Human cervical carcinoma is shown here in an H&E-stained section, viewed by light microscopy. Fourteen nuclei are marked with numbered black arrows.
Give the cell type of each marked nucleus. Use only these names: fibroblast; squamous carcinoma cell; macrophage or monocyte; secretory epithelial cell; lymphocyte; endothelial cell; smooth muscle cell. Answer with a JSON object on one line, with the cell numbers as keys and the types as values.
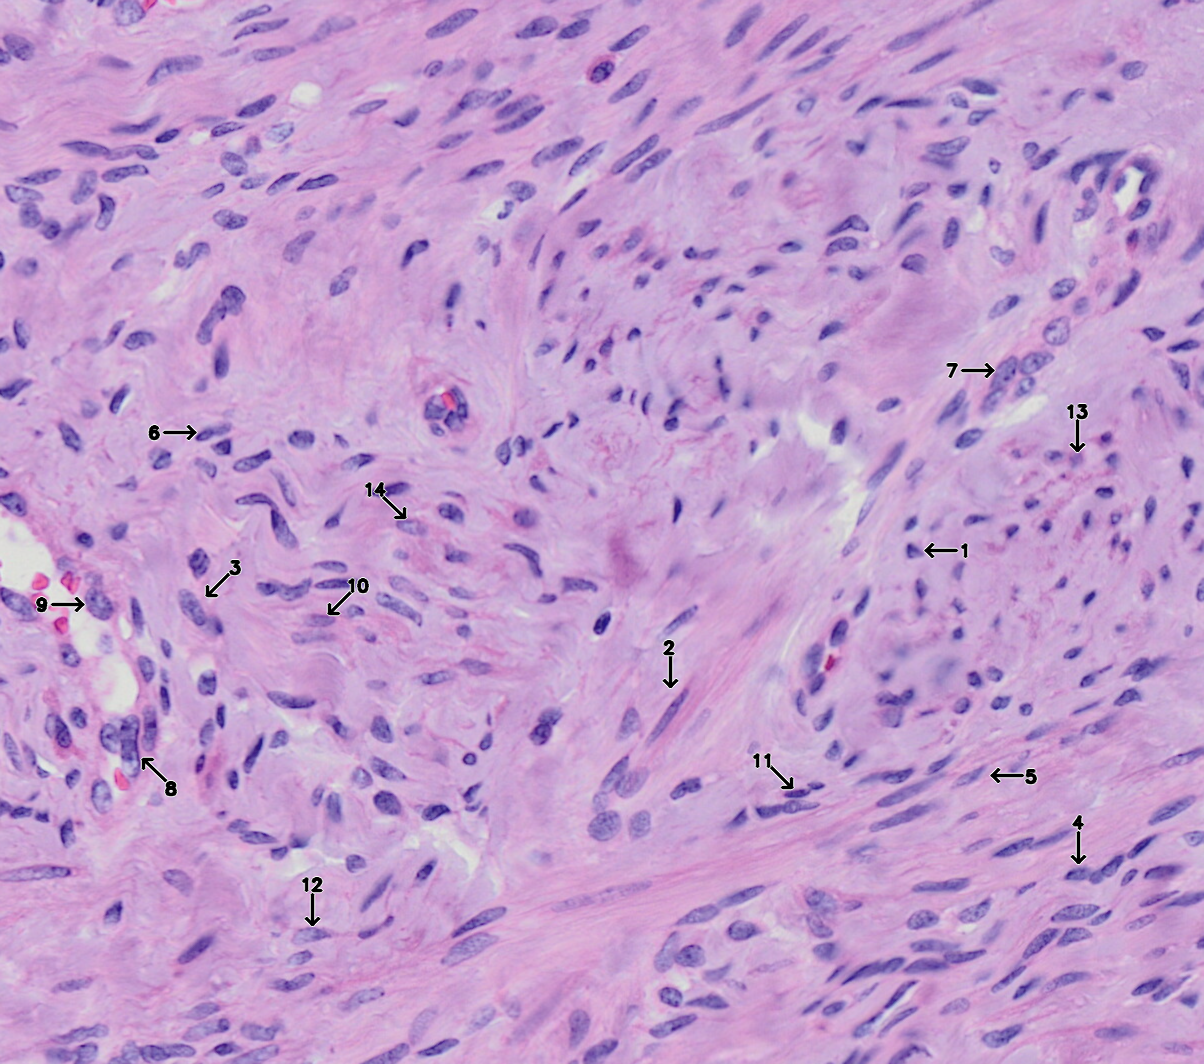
{"1": "fibroblast", "2": "smooth muscle cell", "3": "fibroblast", "4": "fibroblast", "5": "smooth muscle cell", "6": "fibroblast", "7": "endothelial cell", "8": "endothelial cell", "9": "endothelial cell", "10": "smooth muscle cell", "11": "fibroblast", "12": "smooth muscle cell", "13": "smooth muscle cell", "14": "smooth muscle cell"}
